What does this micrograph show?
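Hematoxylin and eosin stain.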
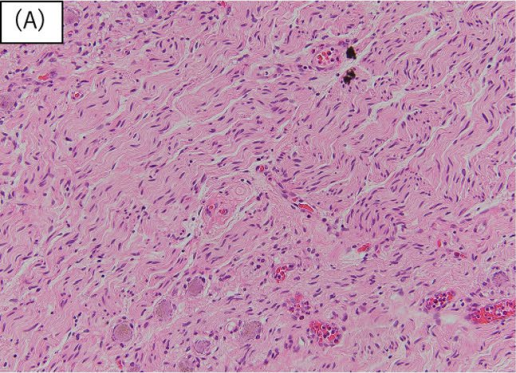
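This is a tumour made of spindle cells, long slender cells whose nuclei are stretched out, tapered at both ends and often wavy. They lie in loose bundles that stream diagonally across the field, separated by pink, finely fibrillary cytoplasm and stroma with small clefts between the strands. The nuclei are purple-blue and vary somewhat in length and thickness. Scattered among the bundles are small thin-walled blood vessels packed with red blood cells, most clearly toward the lower right, and a few round, pale pink bodies sit in the lower left.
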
